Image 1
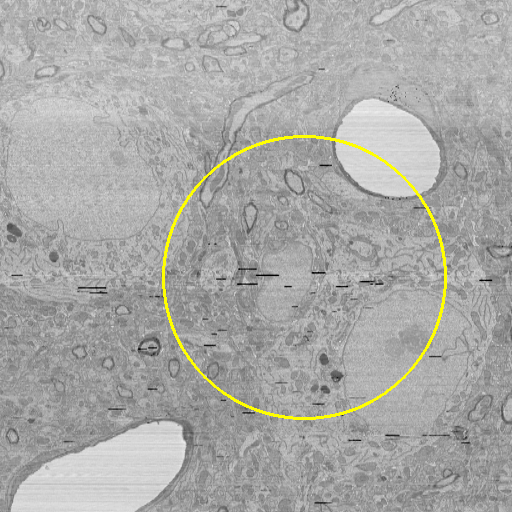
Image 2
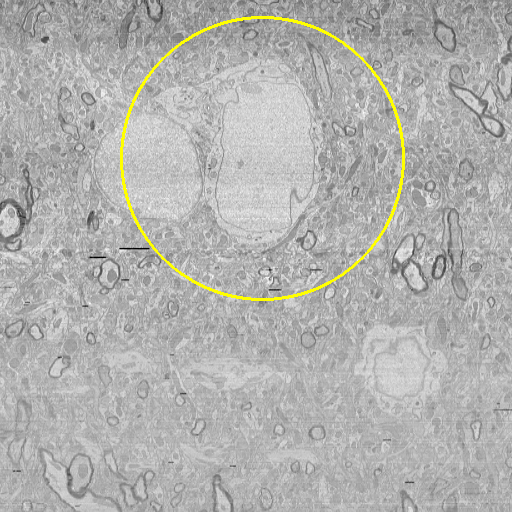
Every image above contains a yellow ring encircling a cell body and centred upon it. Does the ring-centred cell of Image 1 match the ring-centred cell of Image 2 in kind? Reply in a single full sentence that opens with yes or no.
No, the cell at the ring's centre in Image 1 is a separate kind from that in Image 2.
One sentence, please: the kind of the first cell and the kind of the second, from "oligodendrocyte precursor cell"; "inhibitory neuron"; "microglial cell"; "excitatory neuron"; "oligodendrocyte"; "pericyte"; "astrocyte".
The ring in the first picture surrounds an oligodendrocyte precursor cell, and the ring in the second surrounds an excitatory neuron.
